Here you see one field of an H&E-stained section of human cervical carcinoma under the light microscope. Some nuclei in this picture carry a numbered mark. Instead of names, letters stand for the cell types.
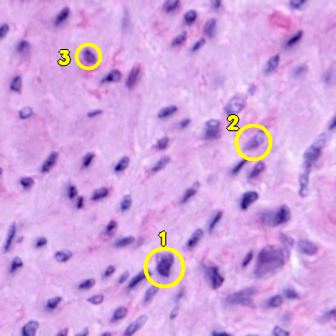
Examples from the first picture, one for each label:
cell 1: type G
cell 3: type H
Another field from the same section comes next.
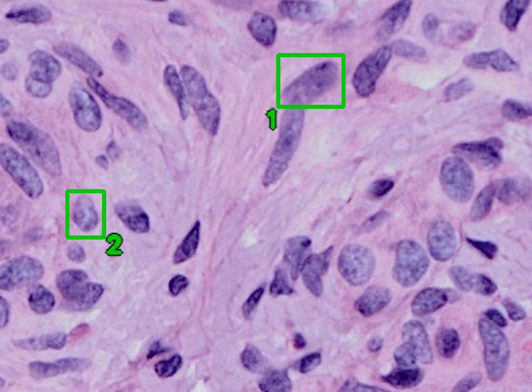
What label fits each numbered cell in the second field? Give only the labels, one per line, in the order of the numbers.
type G
type H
